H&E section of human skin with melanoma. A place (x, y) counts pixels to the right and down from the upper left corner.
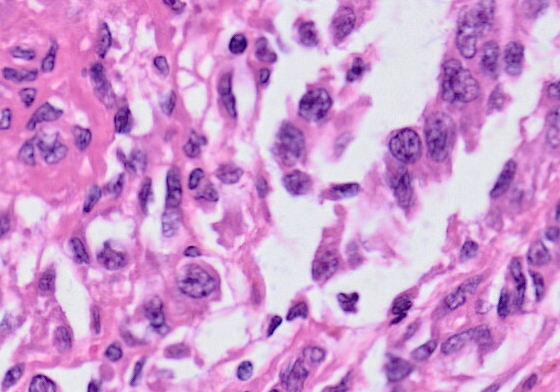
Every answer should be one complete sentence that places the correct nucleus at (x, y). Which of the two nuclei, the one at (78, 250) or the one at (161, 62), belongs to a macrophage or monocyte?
The nucleus at (161, 62) is attributed to a macrophage or monocyte, unlike the other nucleus.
